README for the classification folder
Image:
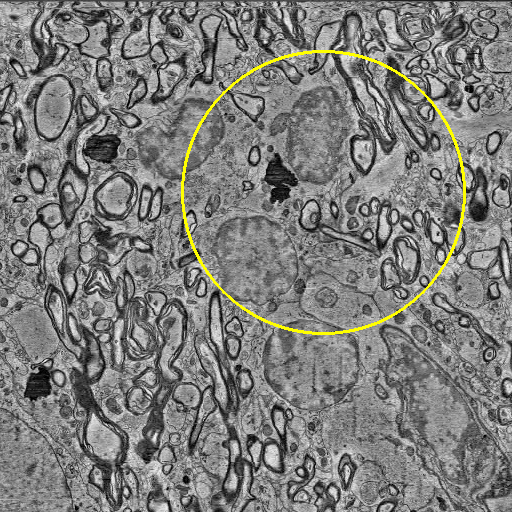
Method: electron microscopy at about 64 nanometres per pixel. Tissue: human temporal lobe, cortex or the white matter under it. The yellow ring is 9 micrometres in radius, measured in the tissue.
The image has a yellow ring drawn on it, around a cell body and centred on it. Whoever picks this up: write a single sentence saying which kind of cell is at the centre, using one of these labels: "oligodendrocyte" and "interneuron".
This cell body is that of an oligodendrocyte.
